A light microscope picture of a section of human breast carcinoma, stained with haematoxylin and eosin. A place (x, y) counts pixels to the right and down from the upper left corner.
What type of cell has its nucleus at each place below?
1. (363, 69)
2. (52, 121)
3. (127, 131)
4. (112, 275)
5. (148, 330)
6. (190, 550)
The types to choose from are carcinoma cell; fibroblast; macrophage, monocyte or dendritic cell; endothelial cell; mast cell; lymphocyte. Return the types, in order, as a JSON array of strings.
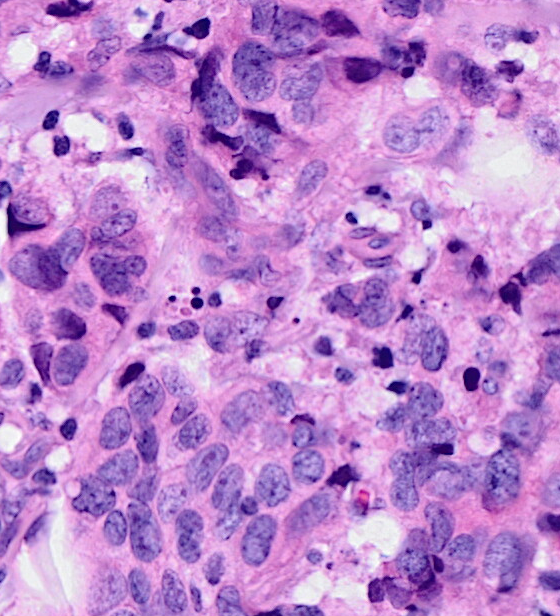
["carcinoma cell", "lymphocyte", "lymphocyte", "carcinoma cell", "lymphocyte", "carcinoma cell"]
